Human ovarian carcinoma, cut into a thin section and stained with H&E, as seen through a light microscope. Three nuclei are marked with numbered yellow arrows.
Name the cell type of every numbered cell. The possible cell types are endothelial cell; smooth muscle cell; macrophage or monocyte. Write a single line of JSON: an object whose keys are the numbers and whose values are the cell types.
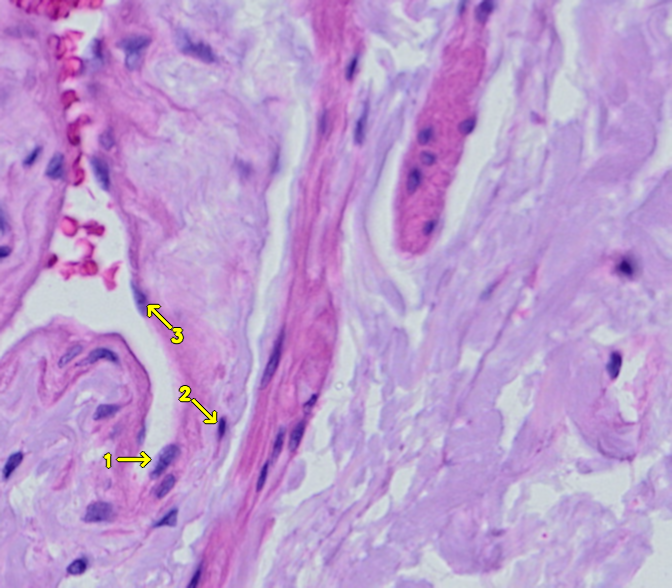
{"1": "endothelial cell", "2": "smooth muscle cell", "3": "endothelial cell"}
